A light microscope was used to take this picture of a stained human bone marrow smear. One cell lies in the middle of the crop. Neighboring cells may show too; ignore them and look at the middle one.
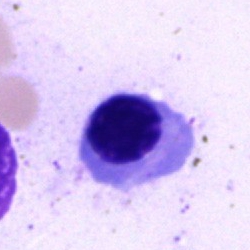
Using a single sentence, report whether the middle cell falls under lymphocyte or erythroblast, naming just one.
The cell of interest, located centrally, is an erythroblast.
